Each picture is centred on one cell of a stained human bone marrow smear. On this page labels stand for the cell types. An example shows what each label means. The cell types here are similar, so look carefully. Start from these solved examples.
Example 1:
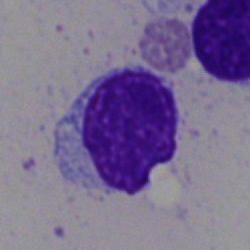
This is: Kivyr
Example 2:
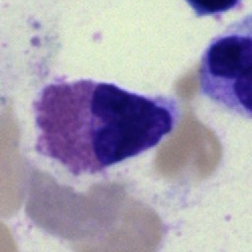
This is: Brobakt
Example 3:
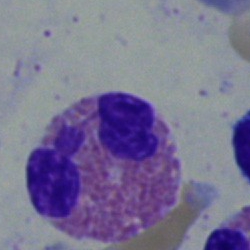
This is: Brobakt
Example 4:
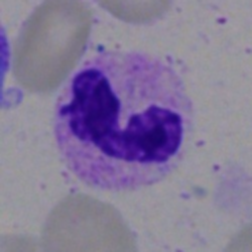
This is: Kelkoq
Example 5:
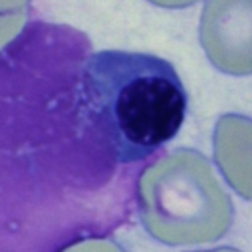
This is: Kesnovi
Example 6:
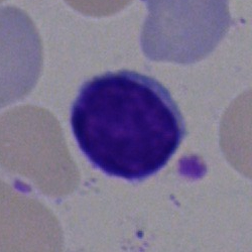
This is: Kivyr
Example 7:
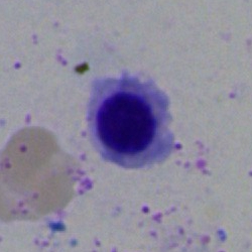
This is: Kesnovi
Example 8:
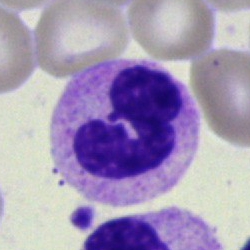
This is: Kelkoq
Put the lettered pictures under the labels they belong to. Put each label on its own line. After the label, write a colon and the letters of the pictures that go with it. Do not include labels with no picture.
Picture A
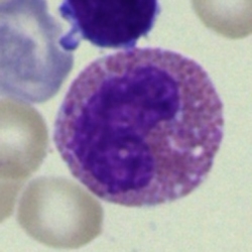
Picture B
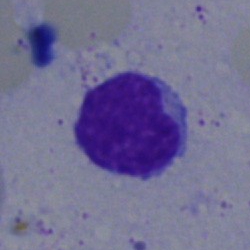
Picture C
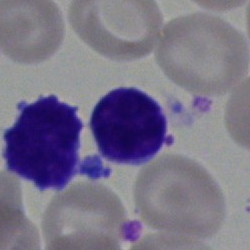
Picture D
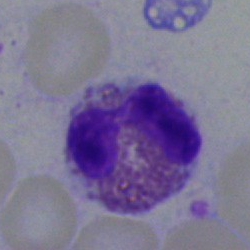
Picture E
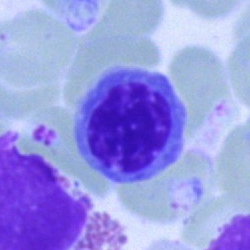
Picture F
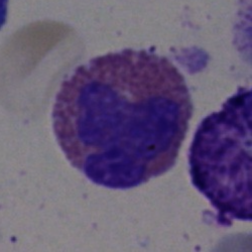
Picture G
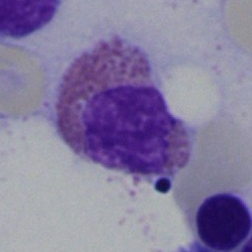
Kivyr: B, C
Brobakt: A, D, F, G
Kesnovi: E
